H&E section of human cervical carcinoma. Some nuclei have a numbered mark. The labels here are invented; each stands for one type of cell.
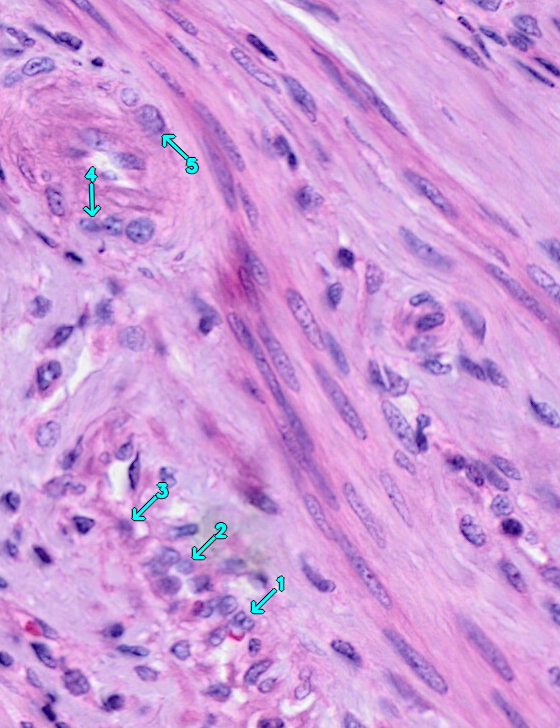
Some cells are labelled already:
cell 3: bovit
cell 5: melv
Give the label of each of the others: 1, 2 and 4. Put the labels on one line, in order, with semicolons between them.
bovit; bovit; melv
